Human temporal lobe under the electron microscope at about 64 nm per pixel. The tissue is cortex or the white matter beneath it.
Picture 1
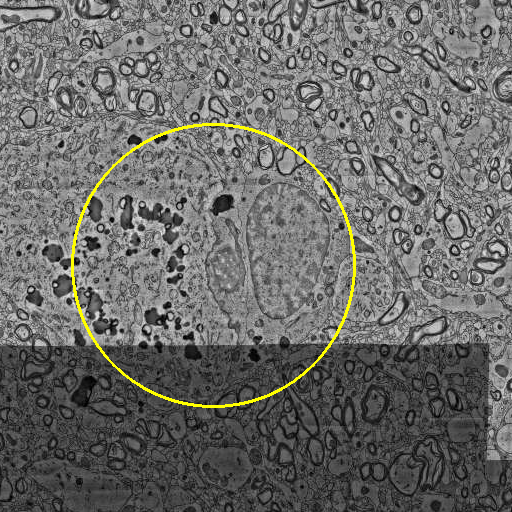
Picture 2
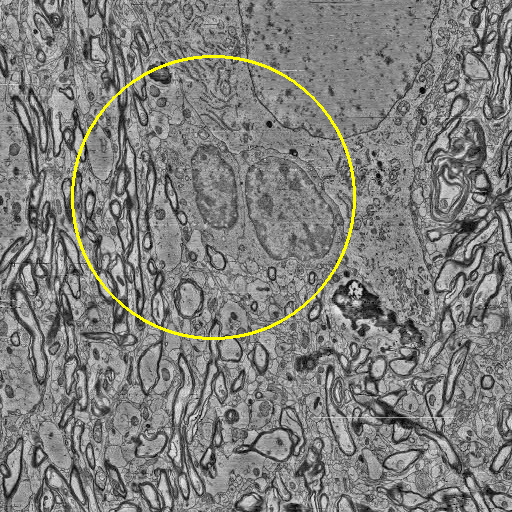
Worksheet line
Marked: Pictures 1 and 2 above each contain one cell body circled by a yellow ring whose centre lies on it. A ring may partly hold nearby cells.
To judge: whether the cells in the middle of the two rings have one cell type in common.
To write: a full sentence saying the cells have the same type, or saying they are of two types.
The cells in the middle of the rings in Picture 1 and Picture 2 have the same type.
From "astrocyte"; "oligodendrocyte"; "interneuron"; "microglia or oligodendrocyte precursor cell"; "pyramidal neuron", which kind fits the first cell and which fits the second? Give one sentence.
Each of the two rings surrounds an oligodendrocyte.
